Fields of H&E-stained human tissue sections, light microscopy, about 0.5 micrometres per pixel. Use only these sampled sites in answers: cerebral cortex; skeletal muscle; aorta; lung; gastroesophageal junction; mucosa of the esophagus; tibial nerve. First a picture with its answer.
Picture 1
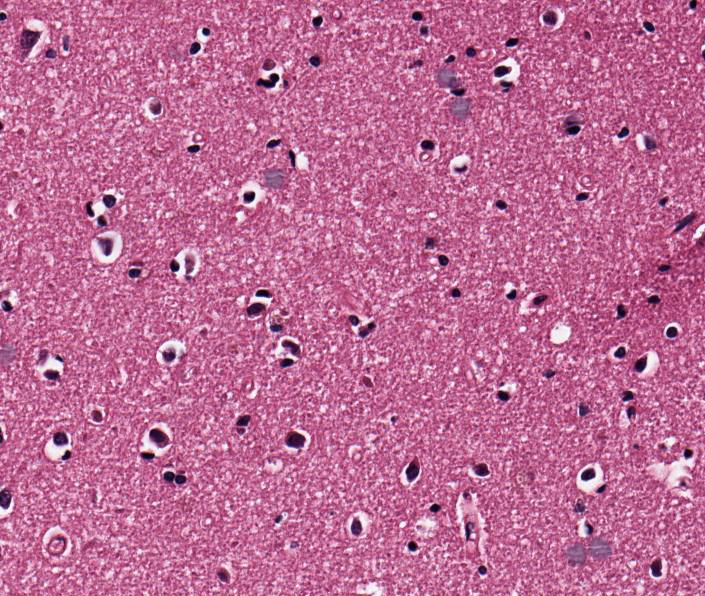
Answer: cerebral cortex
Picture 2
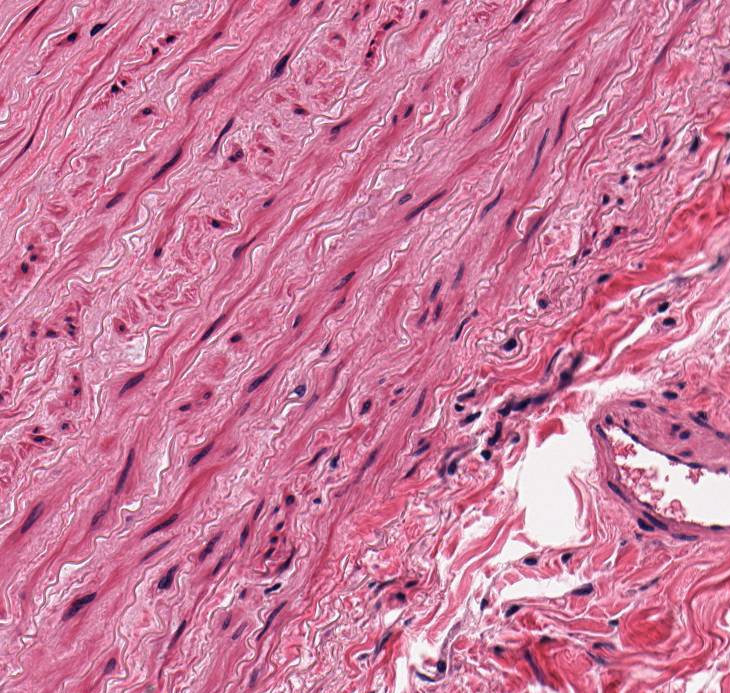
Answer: aorta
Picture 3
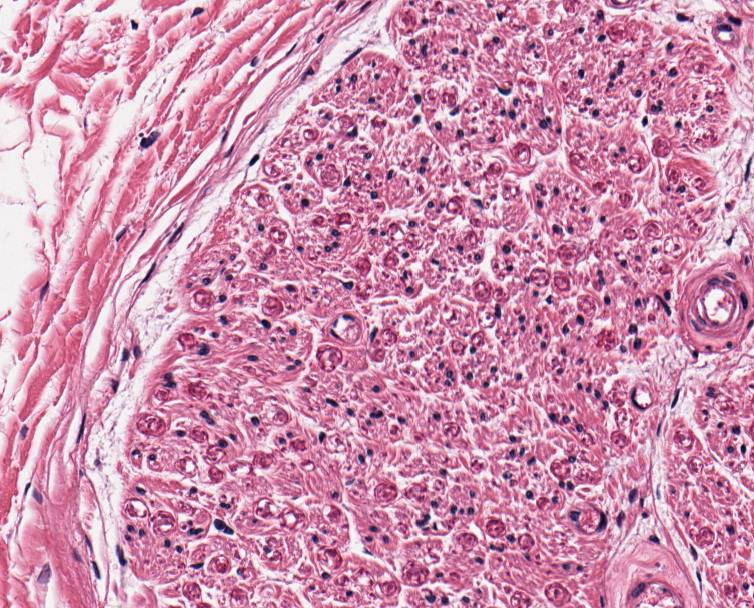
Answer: tibial nerve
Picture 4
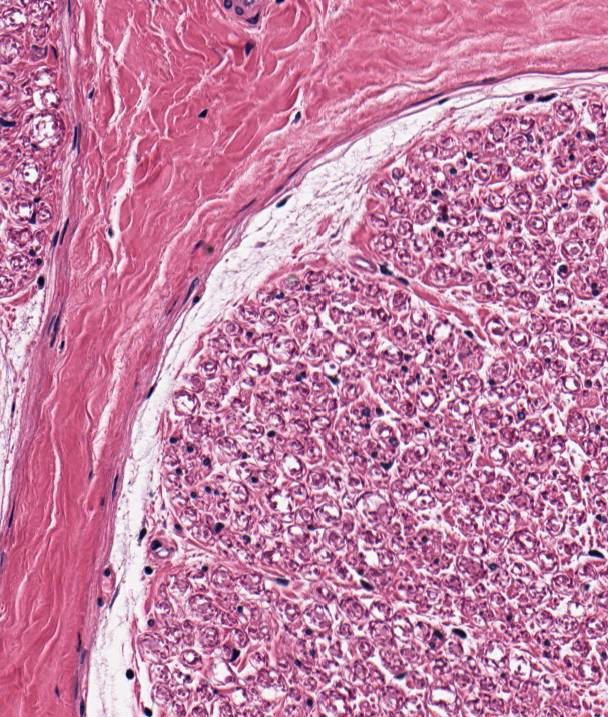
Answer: tibial nerve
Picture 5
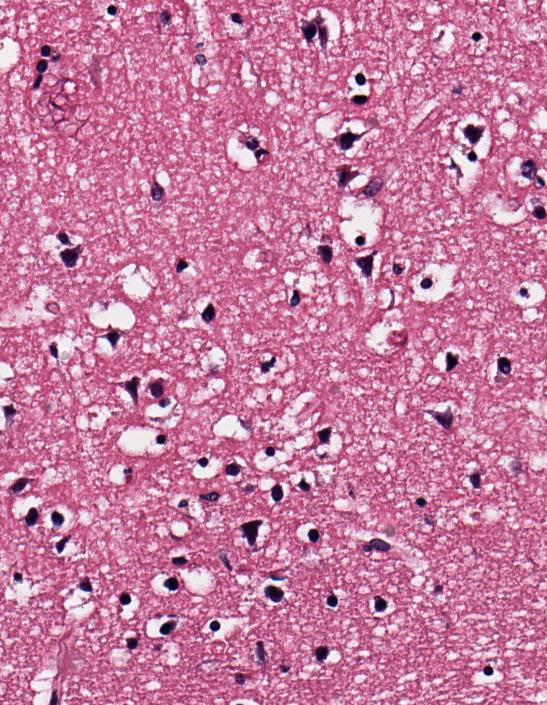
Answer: cerebral cortex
